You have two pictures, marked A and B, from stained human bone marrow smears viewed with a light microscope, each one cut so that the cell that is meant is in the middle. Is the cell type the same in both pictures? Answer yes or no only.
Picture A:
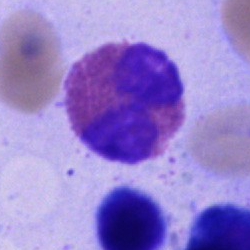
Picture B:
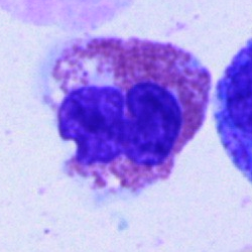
yes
